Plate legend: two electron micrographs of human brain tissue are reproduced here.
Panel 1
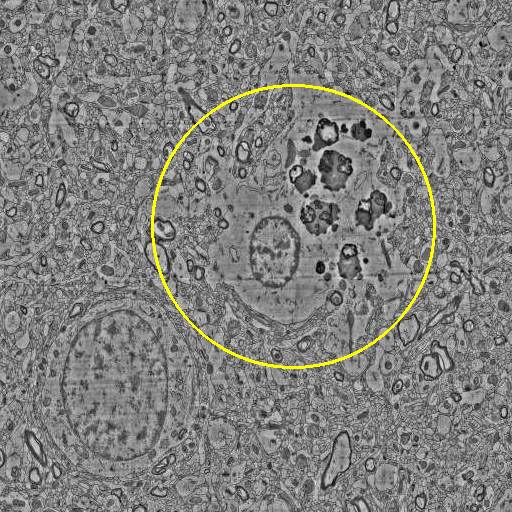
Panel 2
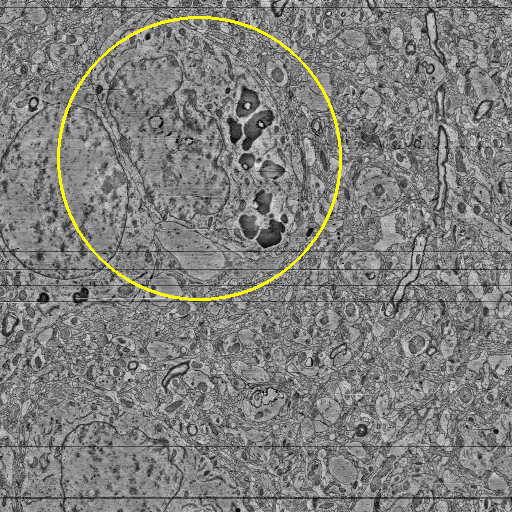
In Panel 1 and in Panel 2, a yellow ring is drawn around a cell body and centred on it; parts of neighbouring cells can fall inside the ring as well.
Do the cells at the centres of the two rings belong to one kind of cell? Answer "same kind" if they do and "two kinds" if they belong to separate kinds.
two kinds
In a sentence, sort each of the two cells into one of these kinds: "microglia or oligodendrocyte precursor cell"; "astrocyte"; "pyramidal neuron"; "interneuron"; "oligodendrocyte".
The first of the two cells is an astrocyte, and the second is an interneuron.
